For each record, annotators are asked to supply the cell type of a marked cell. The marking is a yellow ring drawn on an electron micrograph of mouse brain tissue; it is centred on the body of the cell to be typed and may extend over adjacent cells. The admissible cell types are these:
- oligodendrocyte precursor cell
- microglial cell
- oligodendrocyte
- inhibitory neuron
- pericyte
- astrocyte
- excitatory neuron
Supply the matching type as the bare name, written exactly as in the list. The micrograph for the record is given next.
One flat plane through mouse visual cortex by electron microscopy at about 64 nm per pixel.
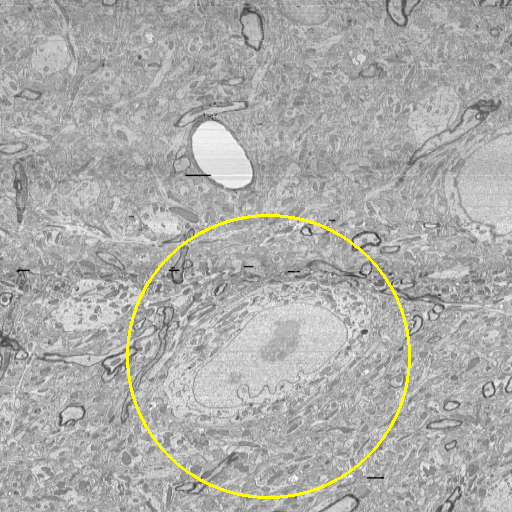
inhibitory neuron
